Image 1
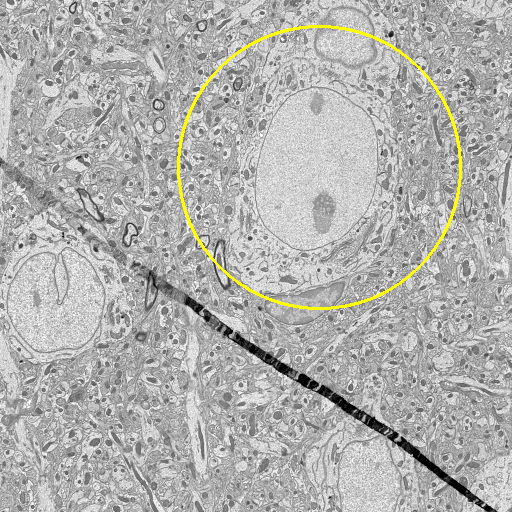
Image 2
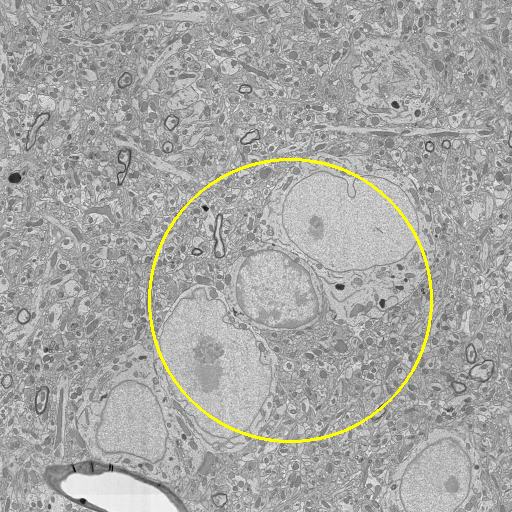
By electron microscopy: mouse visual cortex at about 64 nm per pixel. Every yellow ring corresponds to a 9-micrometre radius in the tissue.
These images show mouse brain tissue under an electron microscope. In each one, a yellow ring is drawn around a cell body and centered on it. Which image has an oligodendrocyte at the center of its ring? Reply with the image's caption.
Image 2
